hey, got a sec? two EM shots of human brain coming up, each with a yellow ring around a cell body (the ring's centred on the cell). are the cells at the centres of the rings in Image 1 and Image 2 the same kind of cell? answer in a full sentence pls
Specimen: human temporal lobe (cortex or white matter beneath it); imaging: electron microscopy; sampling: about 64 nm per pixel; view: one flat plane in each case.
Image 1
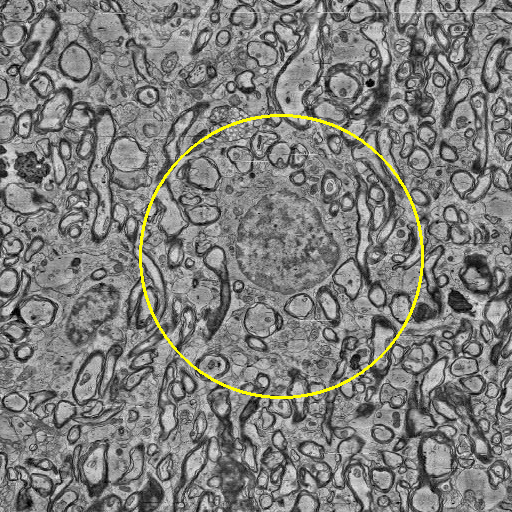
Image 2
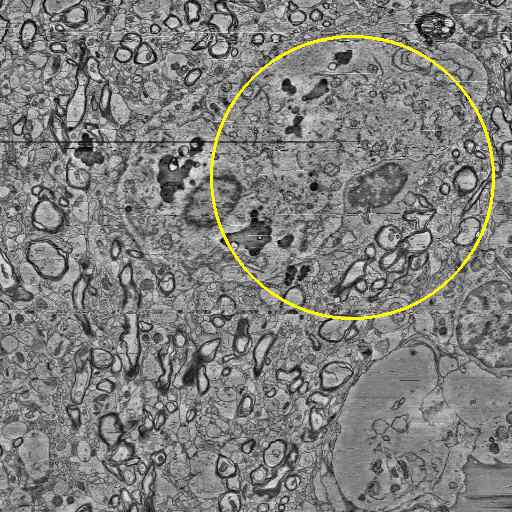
Yes, both are the same kind of cell.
